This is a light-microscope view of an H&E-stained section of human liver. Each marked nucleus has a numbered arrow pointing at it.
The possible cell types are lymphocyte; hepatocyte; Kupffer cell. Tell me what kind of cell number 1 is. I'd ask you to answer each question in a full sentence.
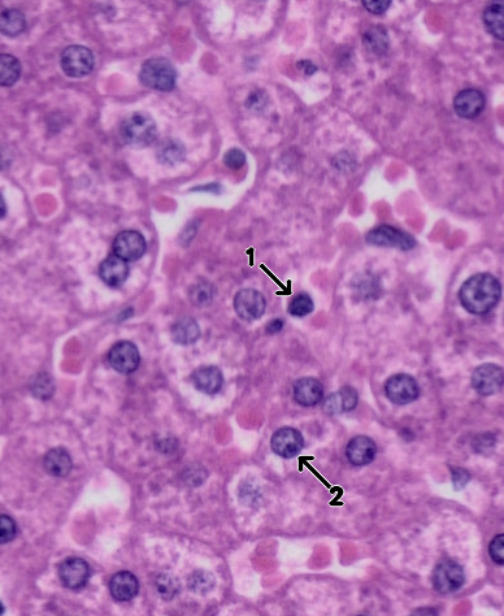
Heads up, the cell numbered 1 is a lymphocyte.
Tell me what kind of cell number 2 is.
Among the marked cells, number 2 is a hepatocyte.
